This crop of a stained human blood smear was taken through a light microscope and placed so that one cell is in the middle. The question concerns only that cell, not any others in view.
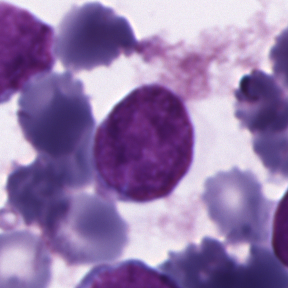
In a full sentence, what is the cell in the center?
By classification, the middle cell of this crop is a myeloblast.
